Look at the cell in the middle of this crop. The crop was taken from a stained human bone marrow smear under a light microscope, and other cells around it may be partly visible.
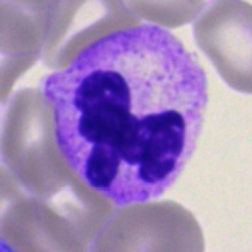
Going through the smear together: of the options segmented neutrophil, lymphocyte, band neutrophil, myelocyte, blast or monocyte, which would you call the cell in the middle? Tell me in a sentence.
The crop shows a segmented neutrophil in its centre.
